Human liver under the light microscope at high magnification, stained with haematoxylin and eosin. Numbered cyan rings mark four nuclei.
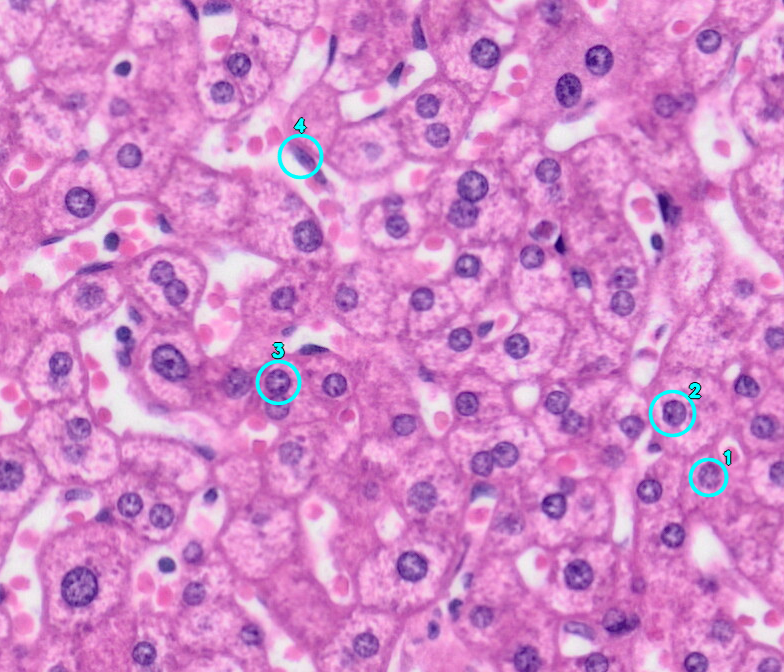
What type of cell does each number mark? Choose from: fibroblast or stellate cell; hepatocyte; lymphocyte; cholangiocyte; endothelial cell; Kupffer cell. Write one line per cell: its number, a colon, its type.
1: hepatocyte
2: hepatocyte
3: hepatocyte
4: Kupffer cell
